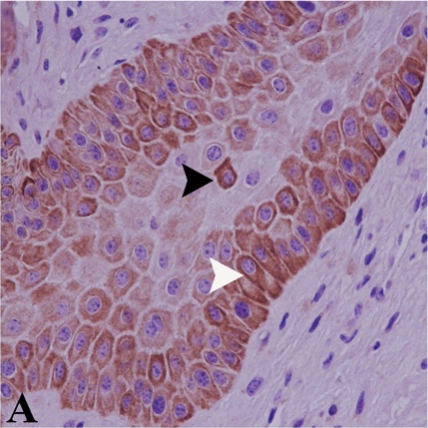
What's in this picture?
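A thick stratified squamous epithelium rests on pale connective tissue with scattered spindle-shaped nuclei; the basal cells stand as a palisade of tall cells along that border, with the parabasal cells above them polygonal with round central nuclei. The cytoplasm of the basal and parabasal cells is stained strongly brown, paler toward the middle of the epithelium, and in a few parabasal cells the brown gathers as a rim around the nucleus, a perinuclear pattern.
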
